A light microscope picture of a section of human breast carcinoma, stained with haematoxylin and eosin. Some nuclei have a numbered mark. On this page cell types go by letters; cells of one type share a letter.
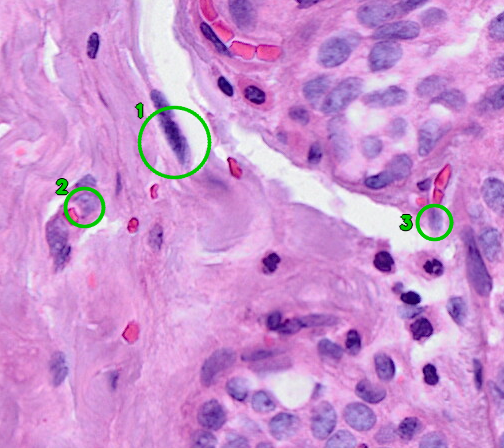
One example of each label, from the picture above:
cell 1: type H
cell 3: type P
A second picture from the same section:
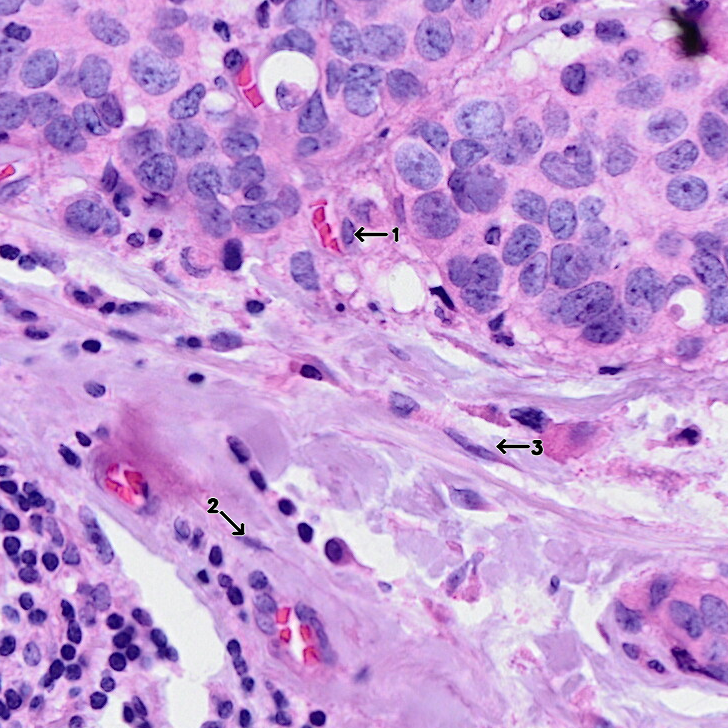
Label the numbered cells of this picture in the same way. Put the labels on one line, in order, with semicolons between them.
type P; type H; type H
